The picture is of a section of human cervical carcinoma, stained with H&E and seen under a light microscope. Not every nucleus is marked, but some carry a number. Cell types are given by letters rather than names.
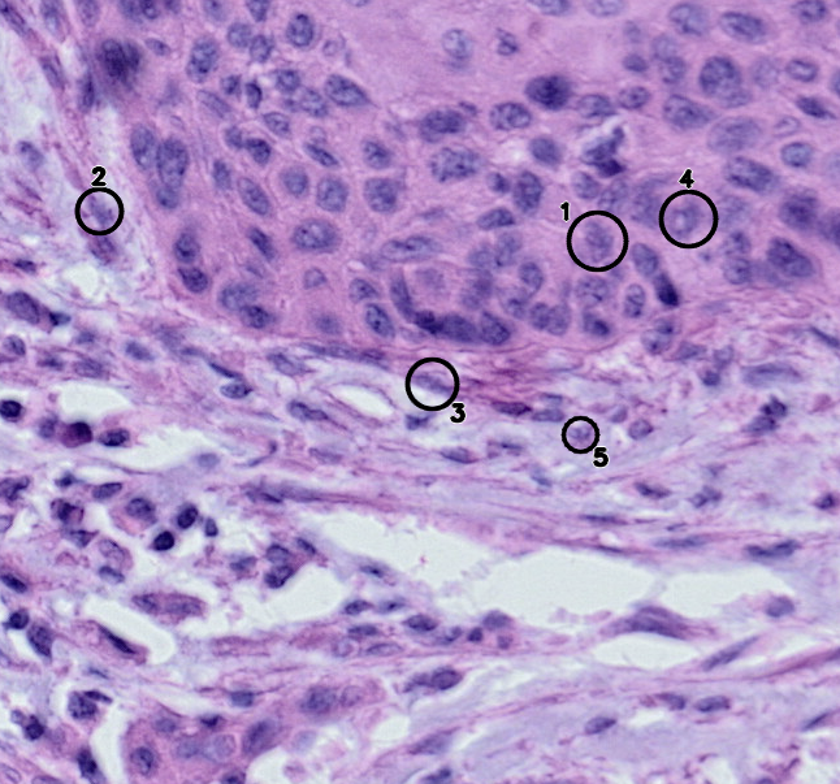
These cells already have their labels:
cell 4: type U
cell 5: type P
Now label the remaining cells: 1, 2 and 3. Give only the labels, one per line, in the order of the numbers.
type U
type P
type P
